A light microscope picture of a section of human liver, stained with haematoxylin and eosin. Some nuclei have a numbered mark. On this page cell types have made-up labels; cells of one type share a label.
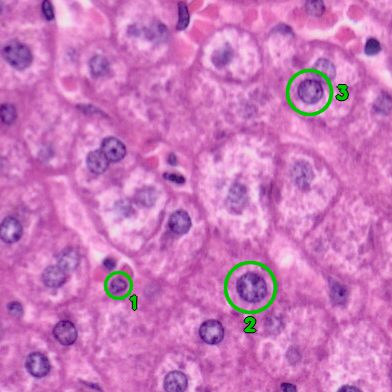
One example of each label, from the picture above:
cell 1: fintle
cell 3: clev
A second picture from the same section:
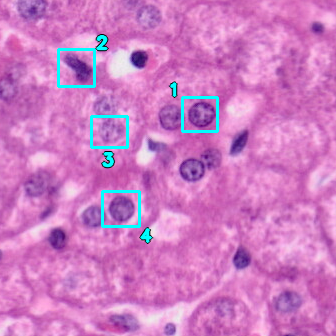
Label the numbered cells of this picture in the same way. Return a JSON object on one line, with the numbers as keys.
{"1": "clev", "2": "fintle", "3": "clev", "4": "clev"}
